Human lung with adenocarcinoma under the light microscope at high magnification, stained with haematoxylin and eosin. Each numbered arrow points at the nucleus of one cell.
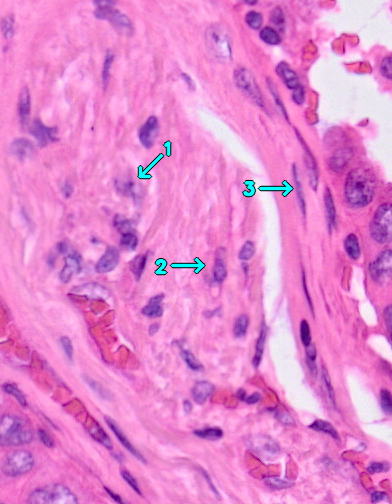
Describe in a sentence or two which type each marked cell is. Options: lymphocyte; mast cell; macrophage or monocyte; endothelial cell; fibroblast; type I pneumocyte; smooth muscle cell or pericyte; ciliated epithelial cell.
Cells 1 and 3 are fibroblasts. Cell 2 is a smooth muscle cell or pericyte.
